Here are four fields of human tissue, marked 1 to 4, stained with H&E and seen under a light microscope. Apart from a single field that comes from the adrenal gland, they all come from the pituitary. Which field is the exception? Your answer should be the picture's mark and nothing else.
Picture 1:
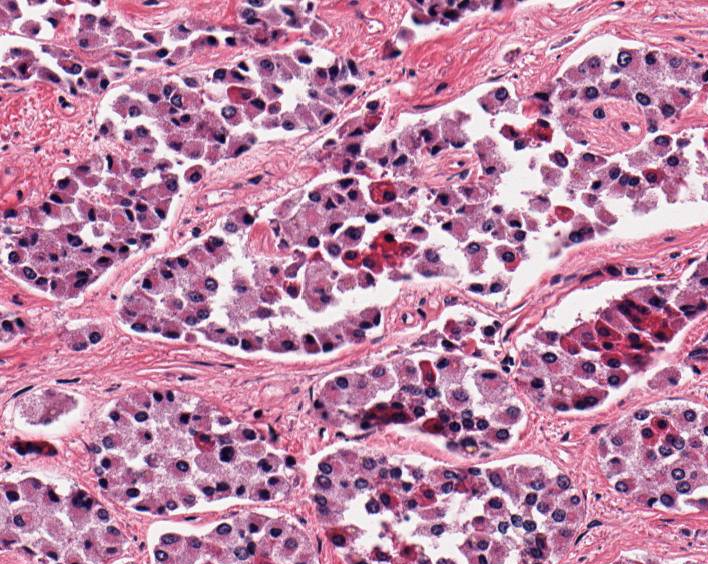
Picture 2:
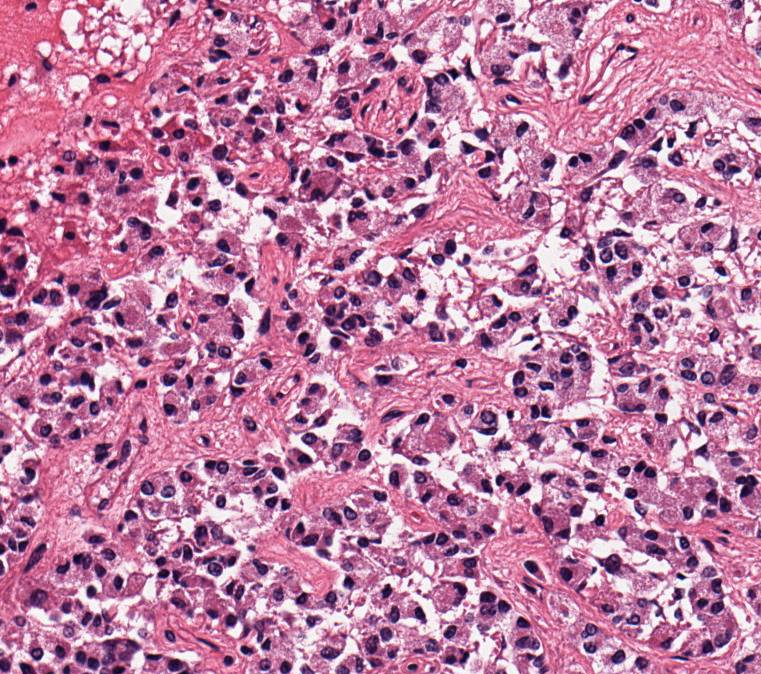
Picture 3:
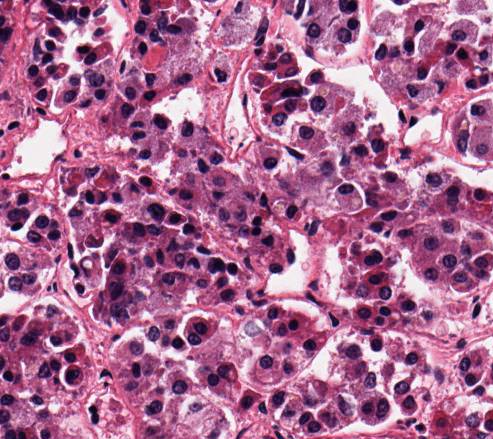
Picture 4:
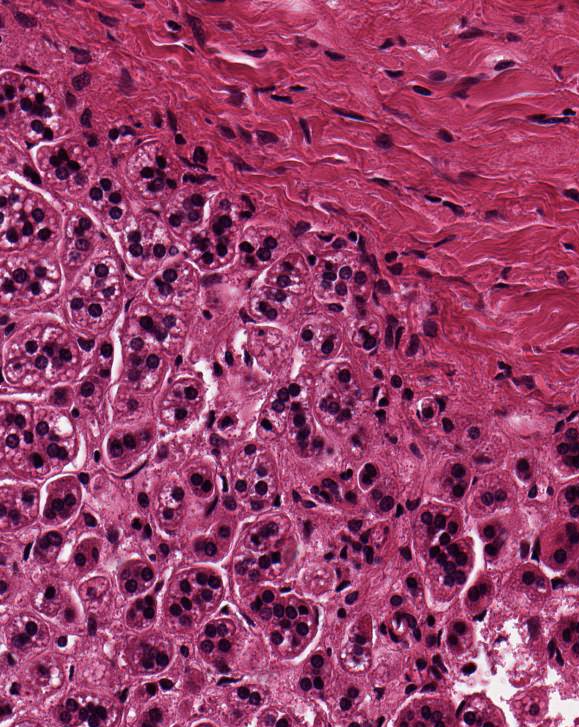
4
